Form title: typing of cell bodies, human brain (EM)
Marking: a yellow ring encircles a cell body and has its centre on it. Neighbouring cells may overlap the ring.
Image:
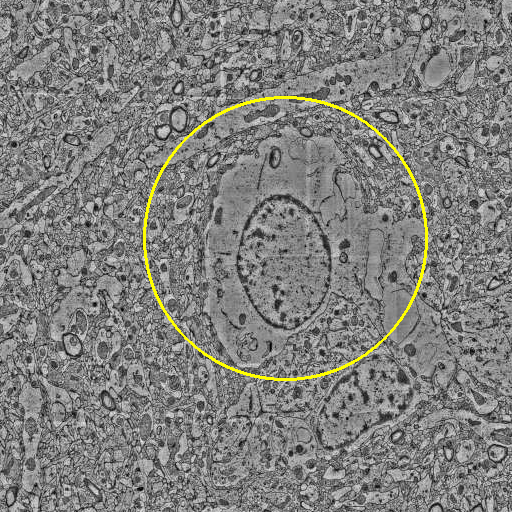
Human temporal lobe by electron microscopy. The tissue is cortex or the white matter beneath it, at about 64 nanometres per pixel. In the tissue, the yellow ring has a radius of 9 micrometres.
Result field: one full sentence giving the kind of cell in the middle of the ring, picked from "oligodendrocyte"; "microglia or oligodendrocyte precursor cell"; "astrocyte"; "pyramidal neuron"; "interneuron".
In the picture, the ring is centred on an astrocyte, whose cell body it encircles.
